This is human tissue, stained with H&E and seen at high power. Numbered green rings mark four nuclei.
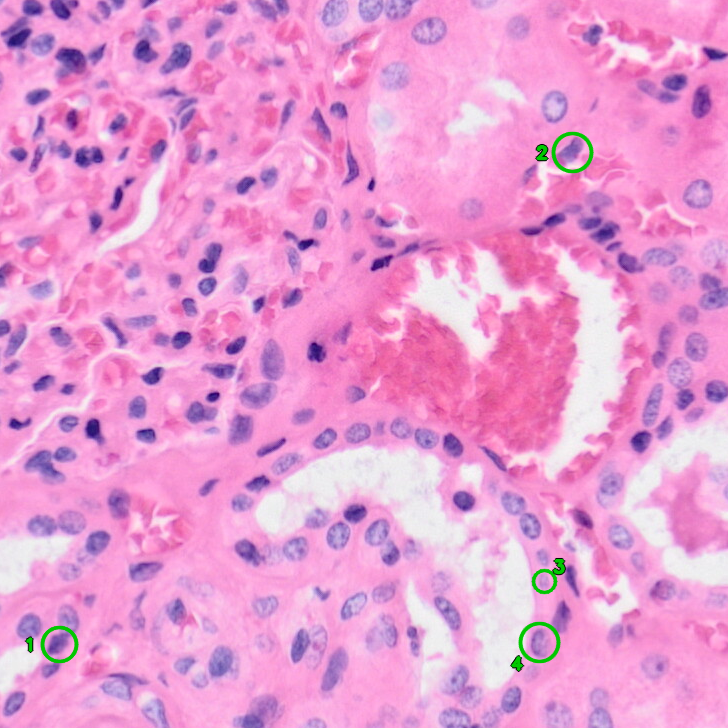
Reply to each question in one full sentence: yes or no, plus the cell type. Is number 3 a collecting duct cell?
Yes, within this section, cell number 3 is a collecting duct cell.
